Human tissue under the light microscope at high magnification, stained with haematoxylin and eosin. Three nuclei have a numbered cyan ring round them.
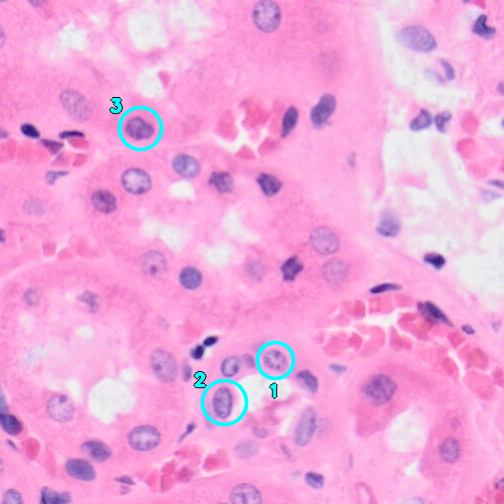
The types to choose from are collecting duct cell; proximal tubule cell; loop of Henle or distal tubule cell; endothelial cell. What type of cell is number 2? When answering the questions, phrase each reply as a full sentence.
Regarding cell 2, this one is a collecting duct cell.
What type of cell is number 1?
Cell 1, as marked in the section, is a collecting duct cell.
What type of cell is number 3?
Denoted by the label 3 in the section is a proximal tubule cell.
